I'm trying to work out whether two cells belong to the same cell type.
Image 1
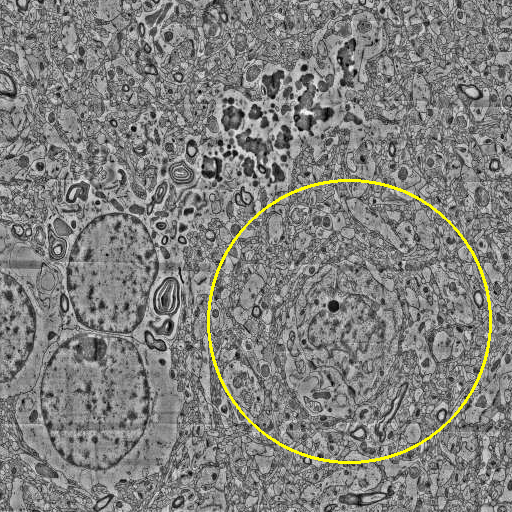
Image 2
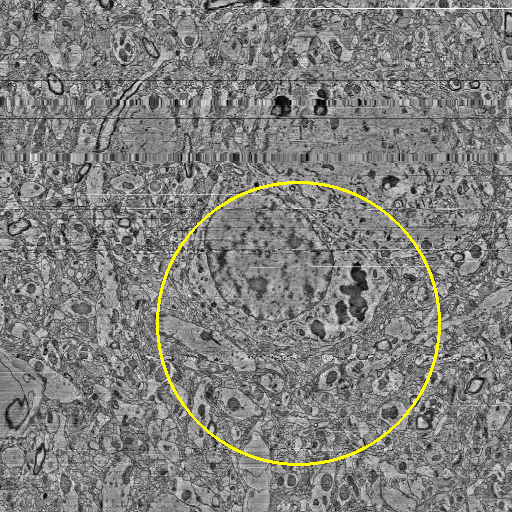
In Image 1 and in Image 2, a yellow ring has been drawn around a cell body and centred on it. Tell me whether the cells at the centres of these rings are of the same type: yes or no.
yes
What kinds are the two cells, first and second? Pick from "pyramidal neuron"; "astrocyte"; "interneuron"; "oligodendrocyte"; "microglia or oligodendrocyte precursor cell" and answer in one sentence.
Both the first and the second picture show an interneuron in the ring.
